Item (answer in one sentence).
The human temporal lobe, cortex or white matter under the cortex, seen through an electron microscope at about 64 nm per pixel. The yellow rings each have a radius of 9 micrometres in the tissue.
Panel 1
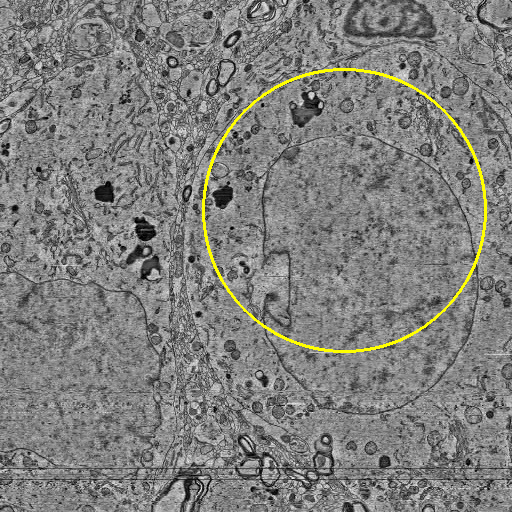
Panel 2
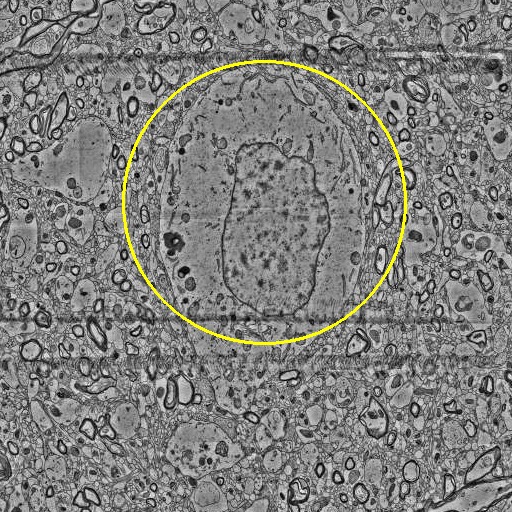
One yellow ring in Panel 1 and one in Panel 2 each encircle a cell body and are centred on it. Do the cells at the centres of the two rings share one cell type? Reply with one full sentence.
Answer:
Yes, Panel 1 and Panel 2 show cells of one type at the centres of their rings.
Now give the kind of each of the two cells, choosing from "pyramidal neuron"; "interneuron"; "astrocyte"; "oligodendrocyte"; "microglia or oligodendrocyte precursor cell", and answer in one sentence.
Each of the two rings surrounds a pyramidal neuron.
